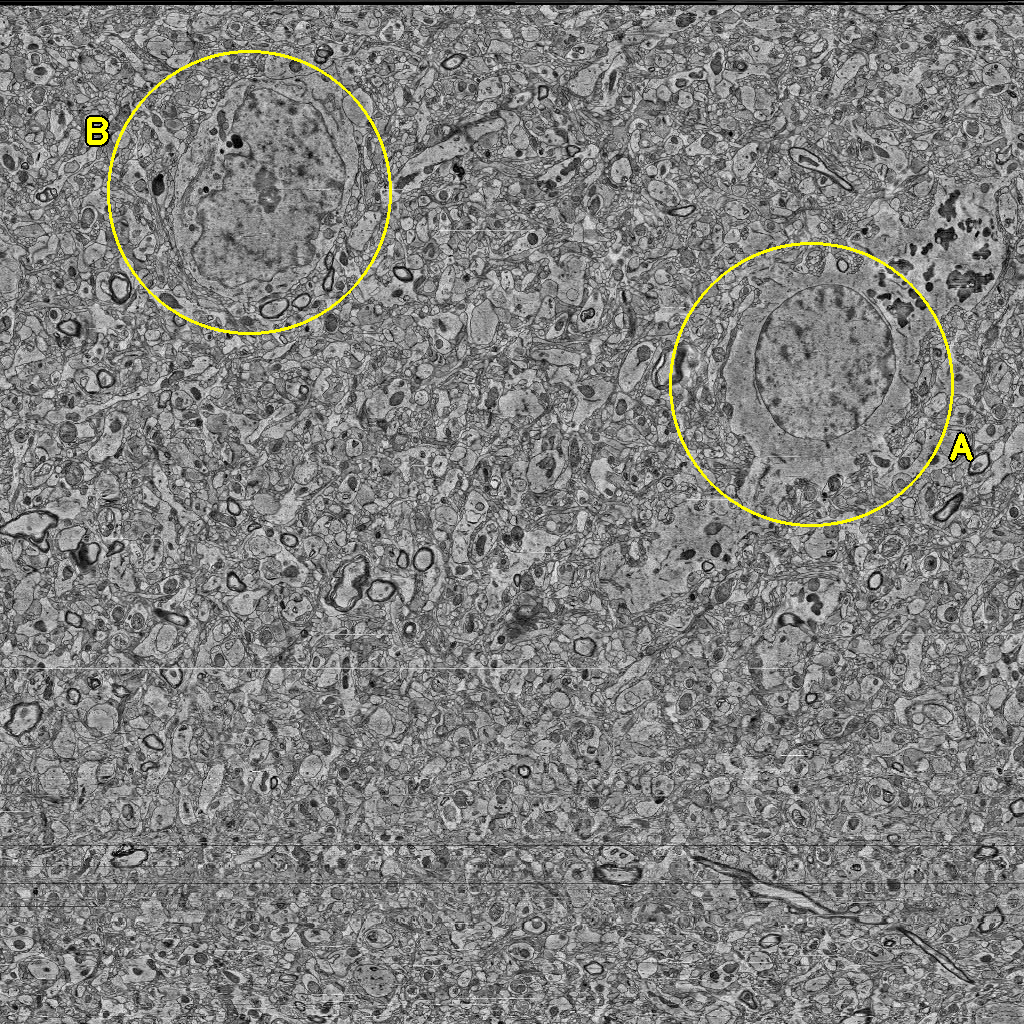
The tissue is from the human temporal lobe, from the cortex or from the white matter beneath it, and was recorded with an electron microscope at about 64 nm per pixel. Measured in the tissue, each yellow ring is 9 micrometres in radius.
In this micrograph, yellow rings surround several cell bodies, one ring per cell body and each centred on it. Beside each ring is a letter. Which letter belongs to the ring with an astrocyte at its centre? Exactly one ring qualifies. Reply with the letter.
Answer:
A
